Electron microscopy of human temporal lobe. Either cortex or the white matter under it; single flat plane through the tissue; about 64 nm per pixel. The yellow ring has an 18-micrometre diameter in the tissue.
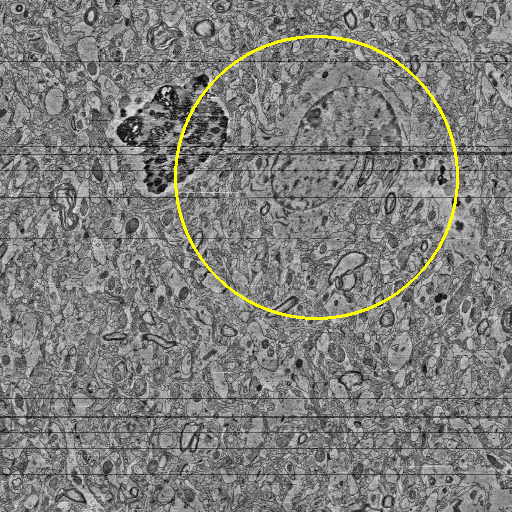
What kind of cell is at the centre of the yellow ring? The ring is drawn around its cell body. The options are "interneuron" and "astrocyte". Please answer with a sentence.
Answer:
The yellow ring marks the cell body of an astrocyte.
